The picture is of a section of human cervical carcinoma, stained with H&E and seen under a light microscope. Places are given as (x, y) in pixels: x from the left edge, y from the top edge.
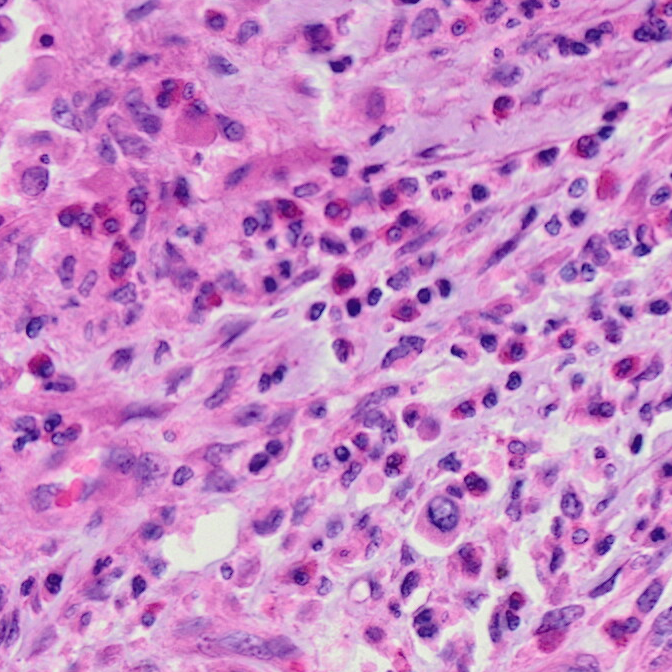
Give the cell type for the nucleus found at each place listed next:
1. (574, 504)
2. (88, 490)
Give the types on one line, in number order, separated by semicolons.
macrophage or monocyte; endothelial cell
